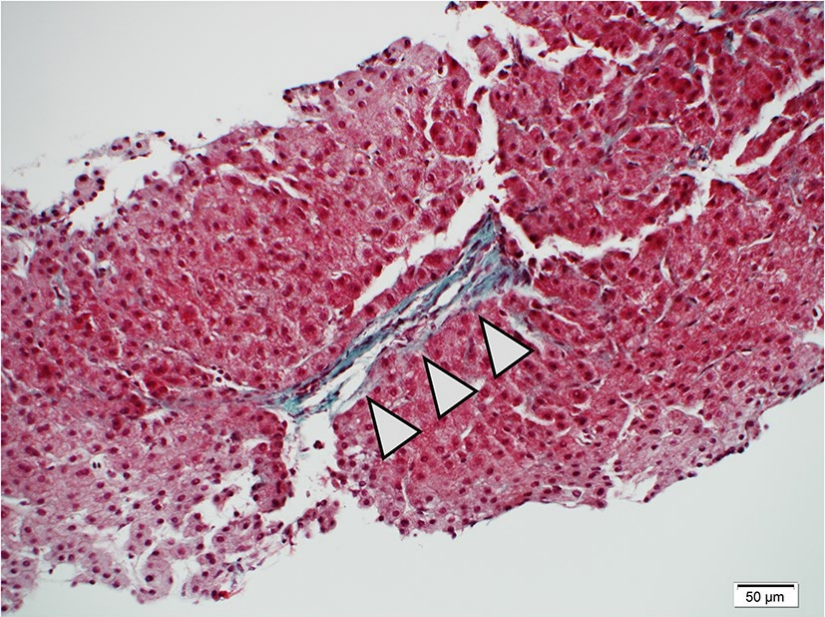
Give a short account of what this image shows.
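This is liver tissue from a needle biopsy, made mostly of large polygonal liver cells with pink-red cytoplasm and round, dark, centrally placed nuclei, packed in sheets and plates. Running diagonally through the middle is a band of blue-green fibrous material, strands of fibres with scattered thin, dark nuclei, in which only a narrow slit-like space is left open.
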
